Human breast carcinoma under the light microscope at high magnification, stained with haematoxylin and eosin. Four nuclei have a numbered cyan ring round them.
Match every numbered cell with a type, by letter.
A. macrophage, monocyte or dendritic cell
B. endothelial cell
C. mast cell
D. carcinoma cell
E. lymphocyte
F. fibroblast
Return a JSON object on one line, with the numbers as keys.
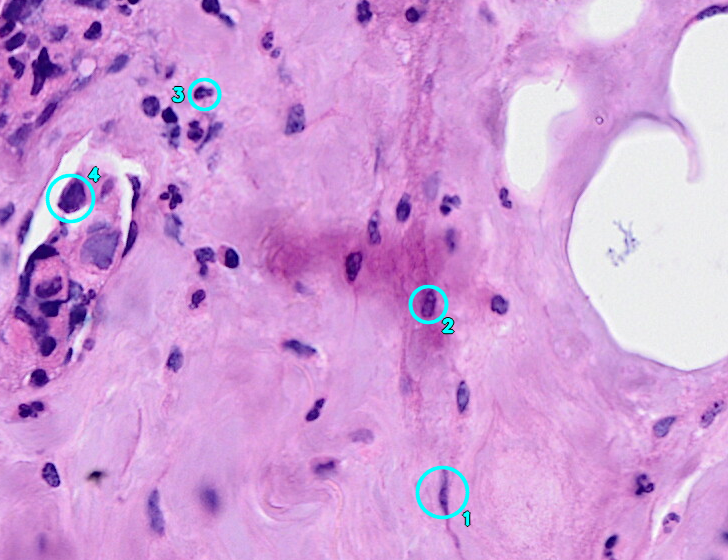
{"1": "F", "2": "F", "3": "E", "4": "D"}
